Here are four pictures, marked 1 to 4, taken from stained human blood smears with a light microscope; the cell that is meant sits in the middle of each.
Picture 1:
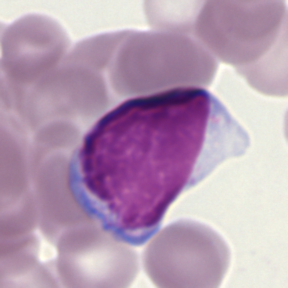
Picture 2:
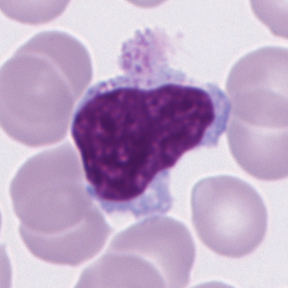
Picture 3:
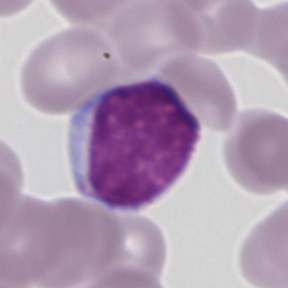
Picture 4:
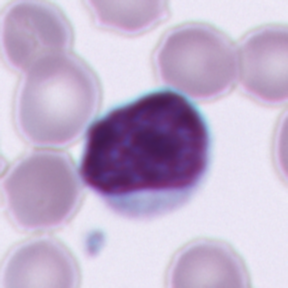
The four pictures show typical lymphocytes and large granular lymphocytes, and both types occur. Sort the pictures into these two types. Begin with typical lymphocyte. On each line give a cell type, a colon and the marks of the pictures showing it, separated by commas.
typical lymphocyte: 4
large granular lymphocyte: 1, 2, 3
